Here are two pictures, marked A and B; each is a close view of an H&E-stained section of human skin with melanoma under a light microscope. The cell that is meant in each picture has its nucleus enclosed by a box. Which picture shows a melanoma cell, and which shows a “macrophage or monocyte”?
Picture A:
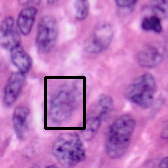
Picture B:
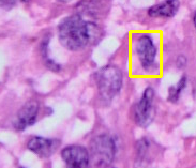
A: melanoma cell
B: macrophage or monocyte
